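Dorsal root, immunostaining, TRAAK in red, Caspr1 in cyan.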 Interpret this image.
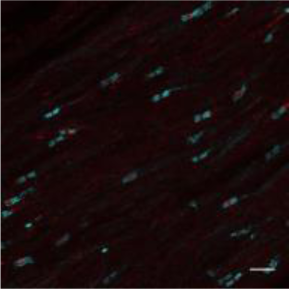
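Bright cyan short elongated marks lie along the fibres at intervals, many appearing as paired dashes separated by a narrow gap, marking the flanks of nodes. Faint cyan lines trace the fibre outlines between them. A diffuse dim red background fills the tissue, with scattered small brighter red dots, some sitting in or beside the cyan pairs. No cell bodies are seen; the field consists of axon bundles only.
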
